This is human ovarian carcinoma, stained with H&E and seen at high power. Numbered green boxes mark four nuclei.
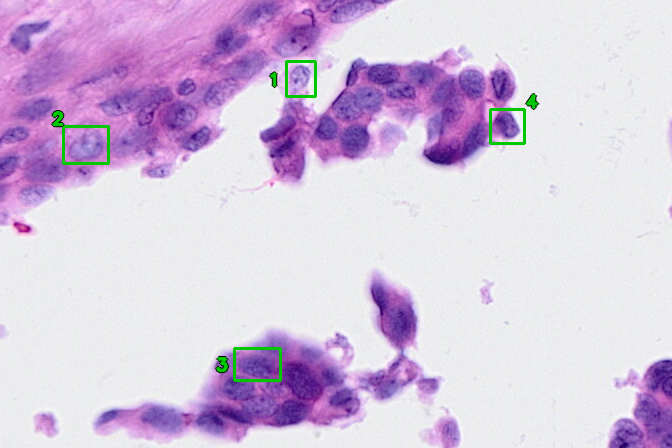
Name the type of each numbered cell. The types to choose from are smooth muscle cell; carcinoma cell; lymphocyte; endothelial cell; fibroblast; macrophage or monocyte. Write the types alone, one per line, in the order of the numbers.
macrophage or monocyte
carcinoma cell
carcinoma cell
macrophage or monocyte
